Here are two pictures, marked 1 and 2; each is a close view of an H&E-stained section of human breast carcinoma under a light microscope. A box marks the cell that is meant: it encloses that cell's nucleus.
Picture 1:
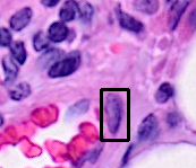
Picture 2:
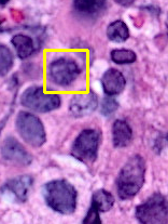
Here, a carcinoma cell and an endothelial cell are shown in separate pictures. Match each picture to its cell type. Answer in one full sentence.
Picture 1 shows an endothelial cell and picture 2 shows a carcinoma cell.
